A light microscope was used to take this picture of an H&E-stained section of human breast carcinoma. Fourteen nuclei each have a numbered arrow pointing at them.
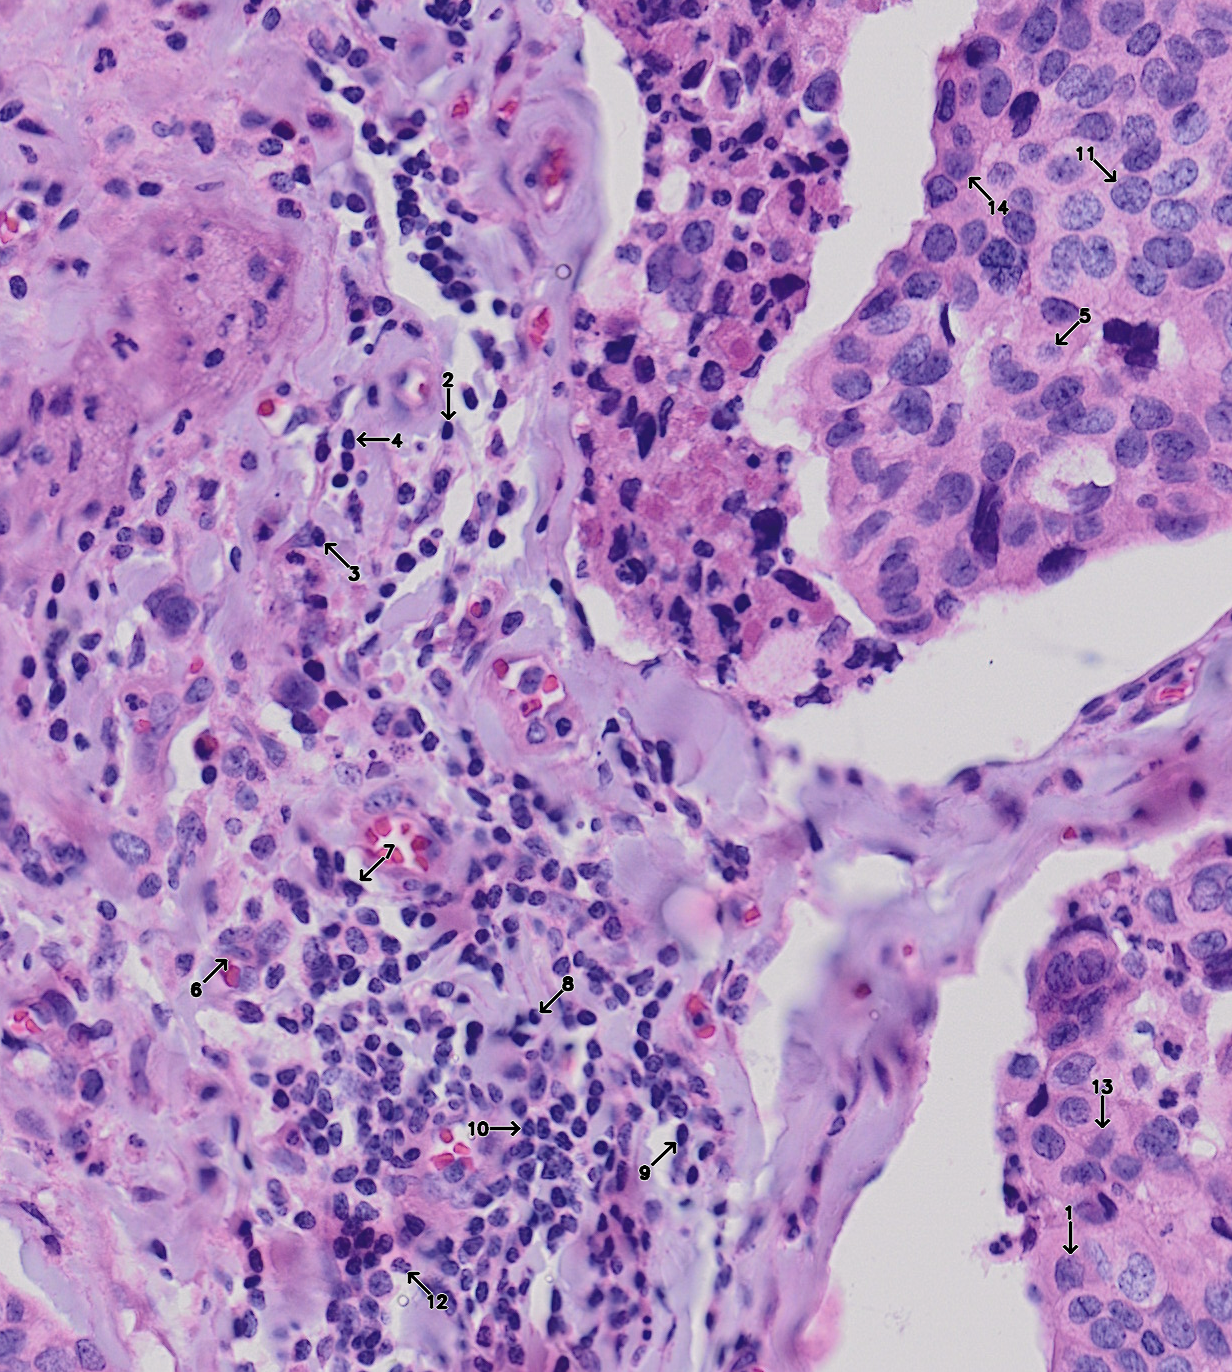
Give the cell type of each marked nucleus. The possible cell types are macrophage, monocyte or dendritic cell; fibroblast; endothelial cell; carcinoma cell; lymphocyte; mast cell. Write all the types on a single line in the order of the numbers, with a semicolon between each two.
carcinoma cell; lymphocyte; lymphocyte; lymphocyte; carcinoma cell; endothelial cell; lymphocyte; lymphocyte; lymphocyte; lymphocyte; carcinoma cell; lymphocyte; carcinoma cell; carcinoma cell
